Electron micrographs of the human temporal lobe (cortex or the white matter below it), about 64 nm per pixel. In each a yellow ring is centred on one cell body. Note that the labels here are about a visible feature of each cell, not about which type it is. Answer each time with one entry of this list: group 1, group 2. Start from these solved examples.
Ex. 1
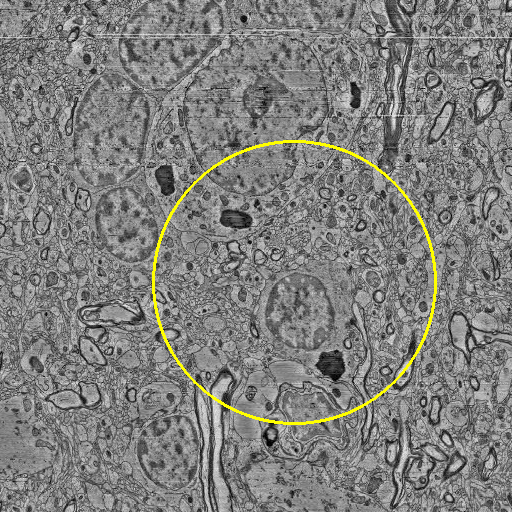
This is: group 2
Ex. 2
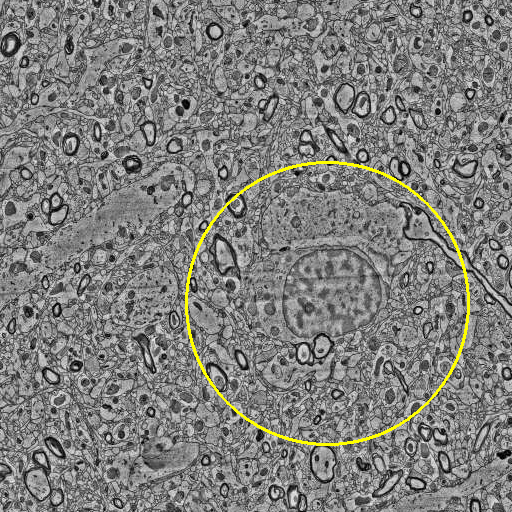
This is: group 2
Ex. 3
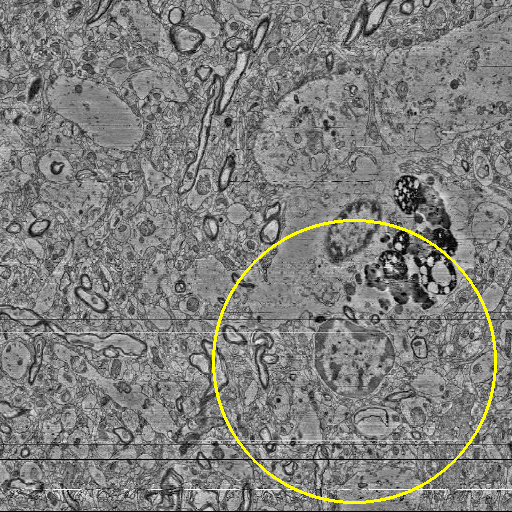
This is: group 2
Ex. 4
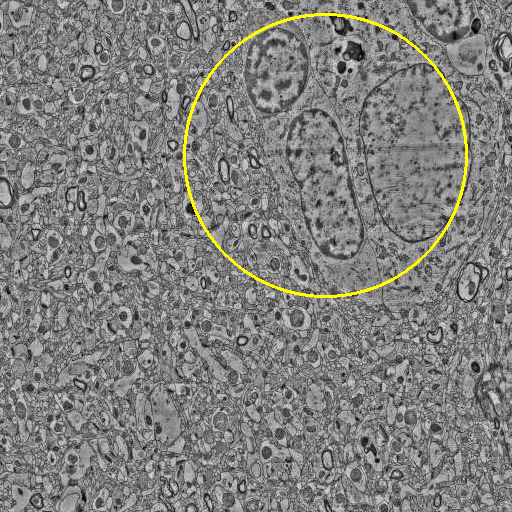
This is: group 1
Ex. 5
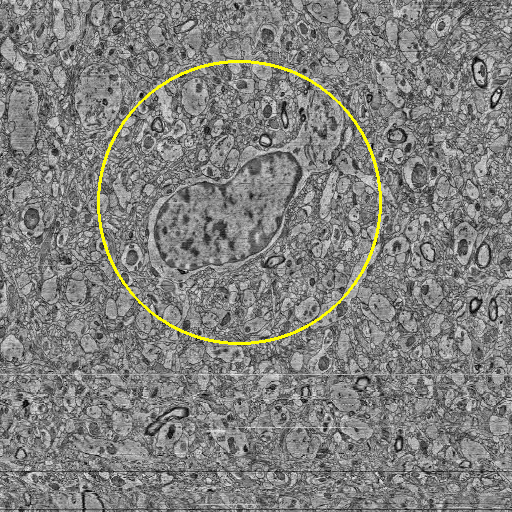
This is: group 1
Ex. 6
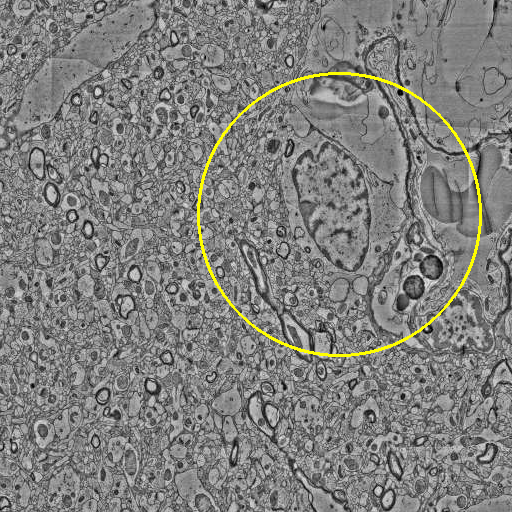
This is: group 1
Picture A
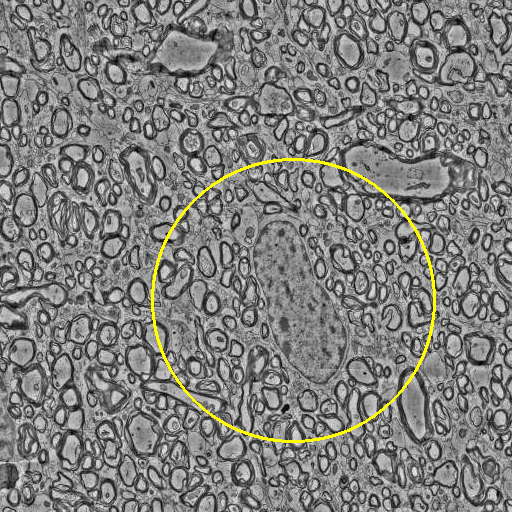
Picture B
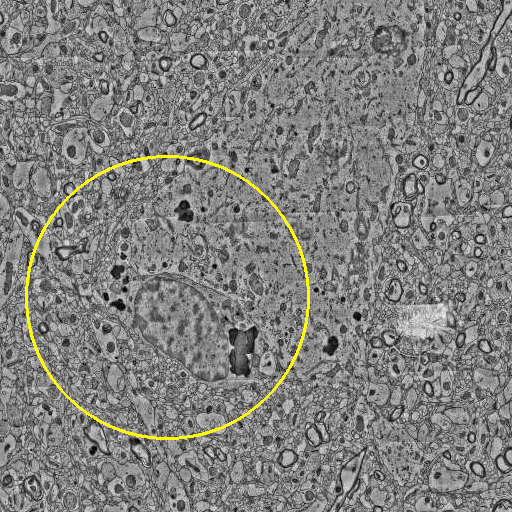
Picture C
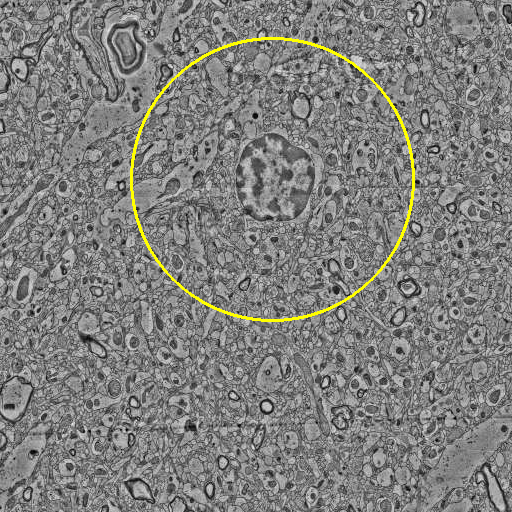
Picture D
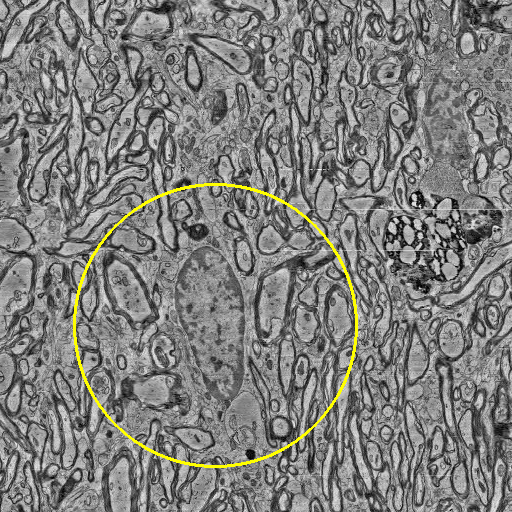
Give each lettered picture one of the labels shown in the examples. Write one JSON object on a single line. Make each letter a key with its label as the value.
{"A": "group 1", "B": "group 1", "C": "group 2", "D": "group 1"}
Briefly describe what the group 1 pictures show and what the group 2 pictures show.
group 1, clearly elongated nuclei; group 2, round or nearly round nuclei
